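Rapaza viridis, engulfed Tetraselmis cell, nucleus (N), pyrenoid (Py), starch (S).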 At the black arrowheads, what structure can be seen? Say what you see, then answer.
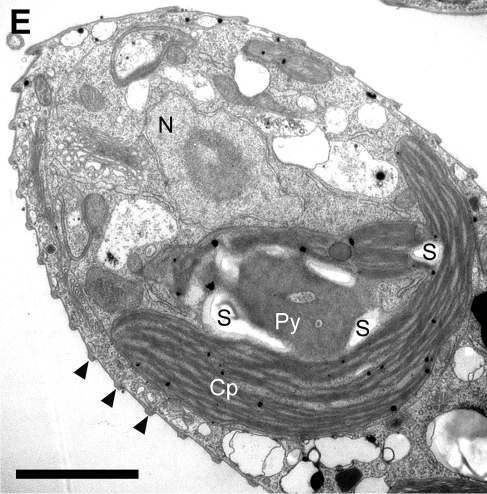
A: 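Small regularly spaced bumps project from the outer cell surface.
Answer: pellicle strips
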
